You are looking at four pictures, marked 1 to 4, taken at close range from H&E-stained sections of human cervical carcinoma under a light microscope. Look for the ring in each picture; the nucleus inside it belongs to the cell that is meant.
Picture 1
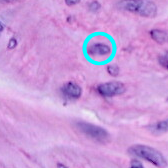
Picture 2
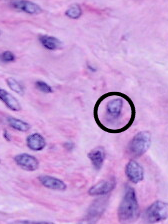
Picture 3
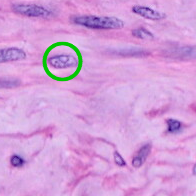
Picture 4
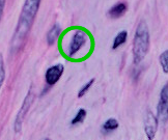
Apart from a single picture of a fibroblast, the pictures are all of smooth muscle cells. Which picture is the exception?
4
